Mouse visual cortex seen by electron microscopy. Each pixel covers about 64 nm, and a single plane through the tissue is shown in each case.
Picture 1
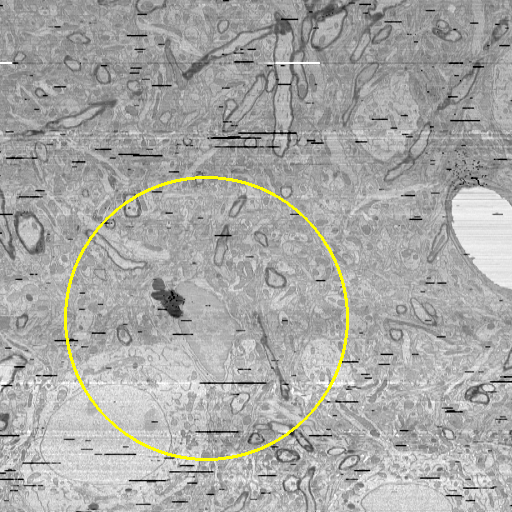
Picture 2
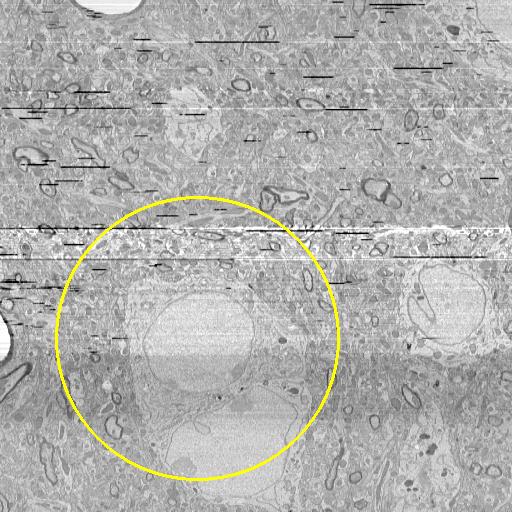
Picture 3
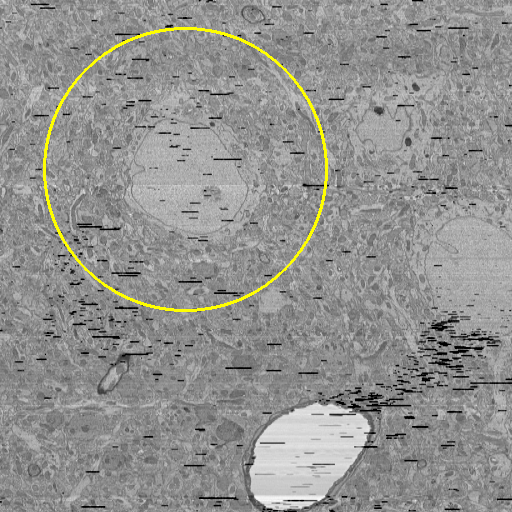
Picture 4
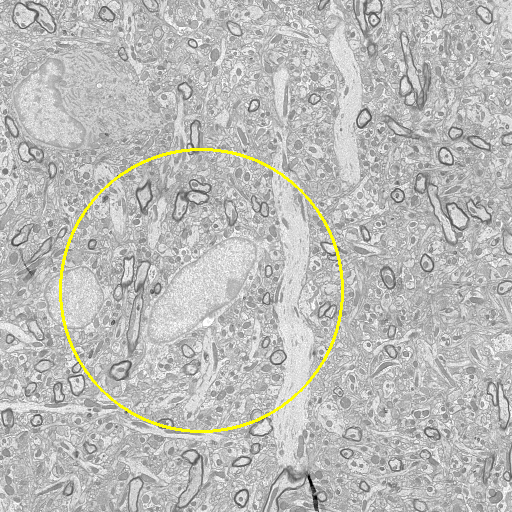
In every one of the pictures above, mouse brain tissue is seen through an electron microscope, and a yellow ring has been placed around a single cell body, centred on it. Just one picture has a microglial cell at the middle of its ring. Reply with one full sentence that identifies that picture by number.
It is picture 1 that shows the wanted cell at its ring's centre.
